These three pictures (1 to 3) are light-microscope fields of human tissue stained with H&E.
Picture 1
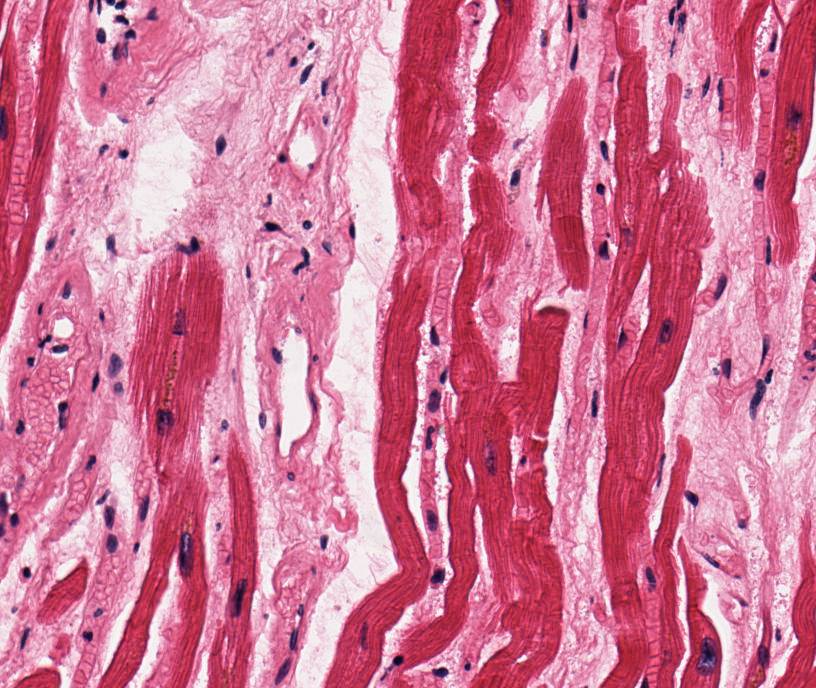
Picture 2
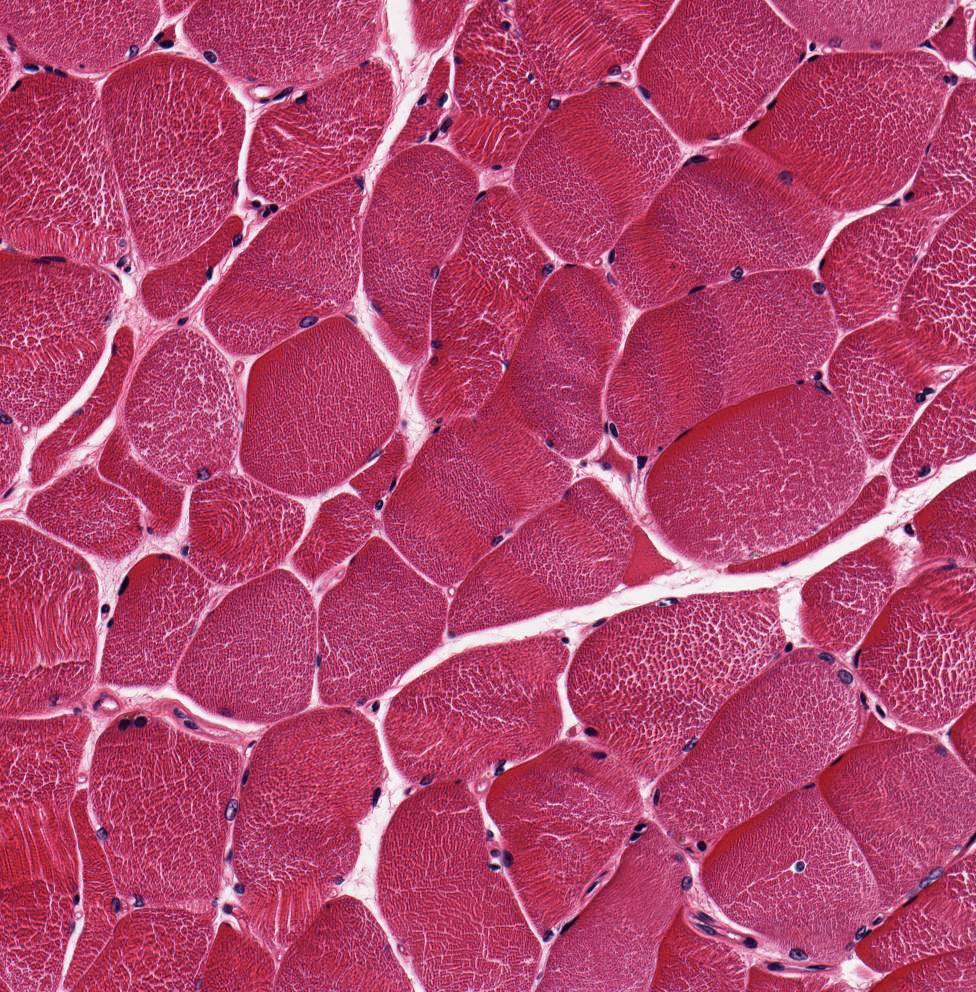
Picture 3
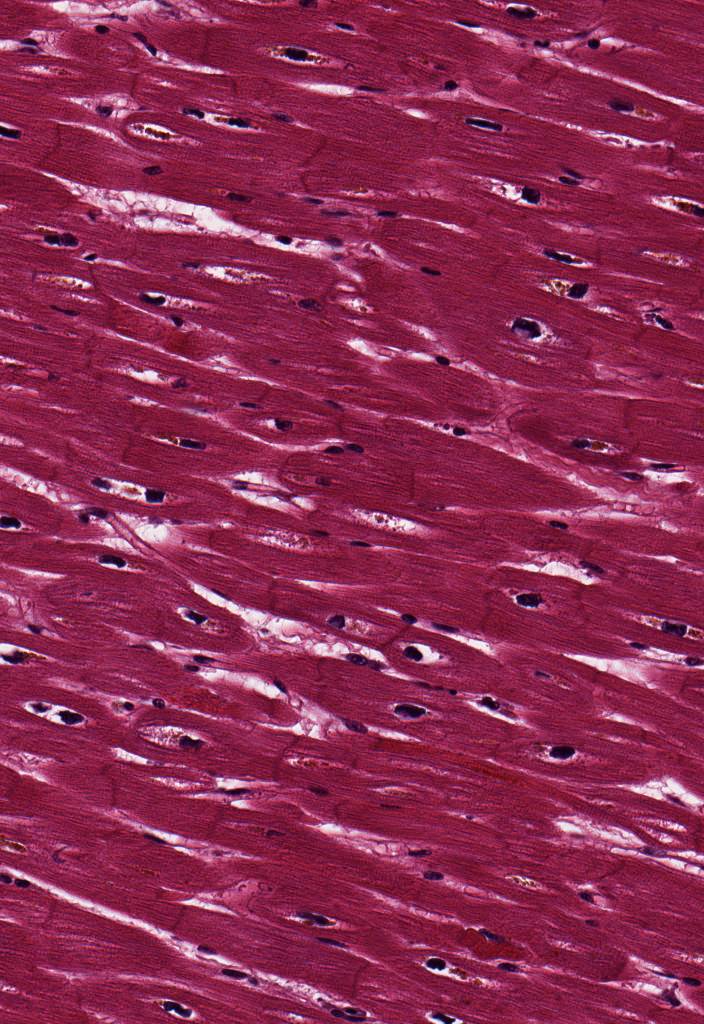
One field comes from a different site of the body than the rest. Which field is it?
2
